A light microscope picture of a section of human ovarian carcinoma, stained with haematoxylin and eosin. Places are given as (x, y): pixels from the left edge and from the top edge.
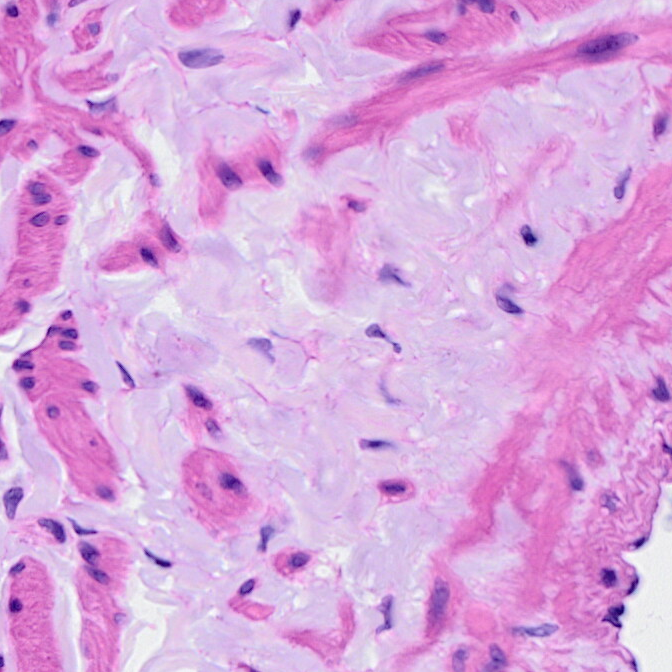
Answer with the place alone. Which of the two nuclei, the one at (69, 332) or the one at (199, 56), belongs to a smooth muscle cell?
(69, 332)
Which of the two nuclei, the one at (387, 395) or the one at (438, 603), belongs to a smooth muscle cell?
(438, 603)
